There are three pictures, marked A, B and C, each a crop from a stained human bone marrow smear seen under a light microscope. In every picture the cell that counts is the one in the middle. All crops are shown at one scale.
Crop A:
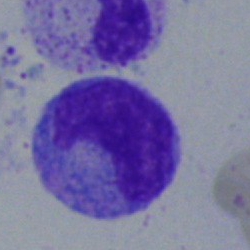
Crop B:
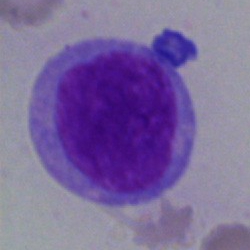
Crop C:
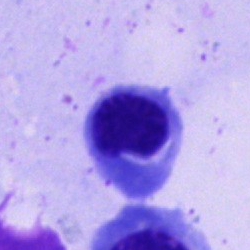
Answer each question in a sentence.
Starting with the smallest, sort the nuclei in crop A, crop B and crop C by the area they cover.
The order is C, A, B, beginning with the smallest.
